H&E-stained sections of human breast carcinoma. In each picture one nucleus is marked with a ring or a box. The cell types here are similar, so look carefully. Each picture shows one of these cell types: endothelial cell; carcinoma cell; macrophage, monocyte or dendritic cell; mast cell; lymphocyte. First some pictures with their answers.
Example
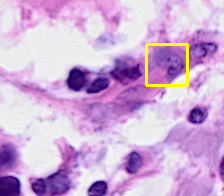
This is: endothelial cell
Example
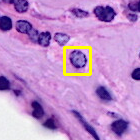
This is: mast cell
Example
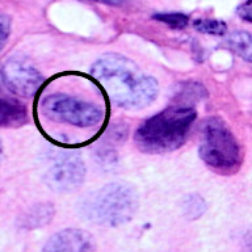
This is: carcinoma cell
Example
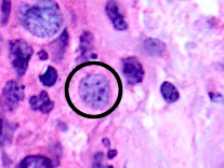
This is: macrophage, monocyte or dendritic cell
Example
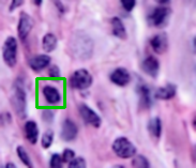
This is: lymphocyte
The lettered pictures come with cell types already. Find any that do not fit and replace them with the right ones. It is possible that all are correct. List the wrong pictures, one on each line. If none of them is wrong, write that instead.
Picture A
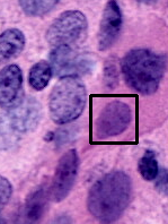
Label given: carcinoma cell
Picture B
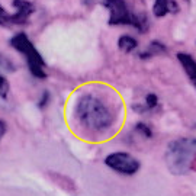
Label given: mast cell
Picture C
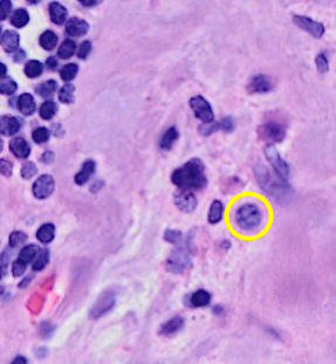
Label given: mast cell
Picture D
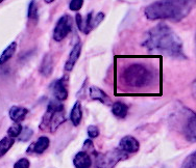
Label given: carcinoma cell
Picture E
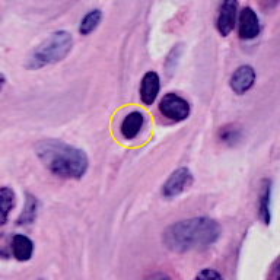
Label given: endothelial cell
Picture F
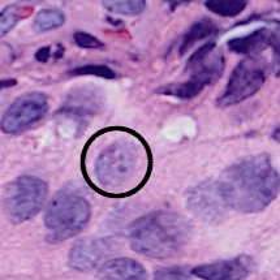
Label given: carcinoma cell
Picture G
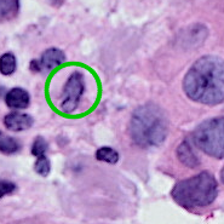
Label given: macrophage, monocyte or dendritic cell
Wrong: E (endothelial cell); correct: lymphocyte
